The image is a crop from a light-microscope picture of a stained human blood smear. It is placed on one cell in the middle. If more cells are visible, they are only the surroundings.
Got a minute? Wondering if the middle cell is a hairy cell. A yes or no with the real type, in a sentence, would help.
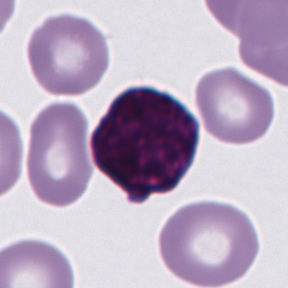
No, the cell at the centre is categorised not as a hairy cell but as a blast.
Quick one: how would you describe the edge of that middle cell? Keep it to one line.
The contour of the cell is interrupted by ragged areas or by projections.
